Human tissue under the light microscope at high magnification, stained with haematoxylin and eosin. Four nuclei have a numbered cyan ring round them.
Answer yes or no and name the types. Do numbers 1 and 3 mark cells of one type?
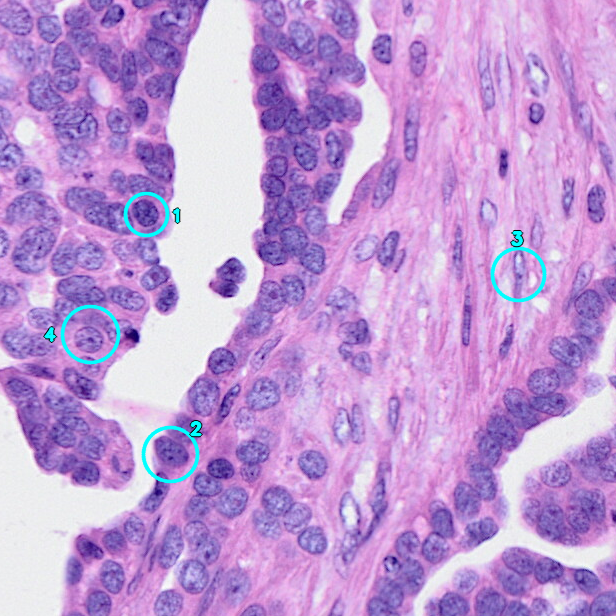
No, cell 1 is a carcinoma cell and cell 3 is a fibroblast.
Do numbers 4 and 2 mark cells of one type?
Yes, both are carcinoma cells.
